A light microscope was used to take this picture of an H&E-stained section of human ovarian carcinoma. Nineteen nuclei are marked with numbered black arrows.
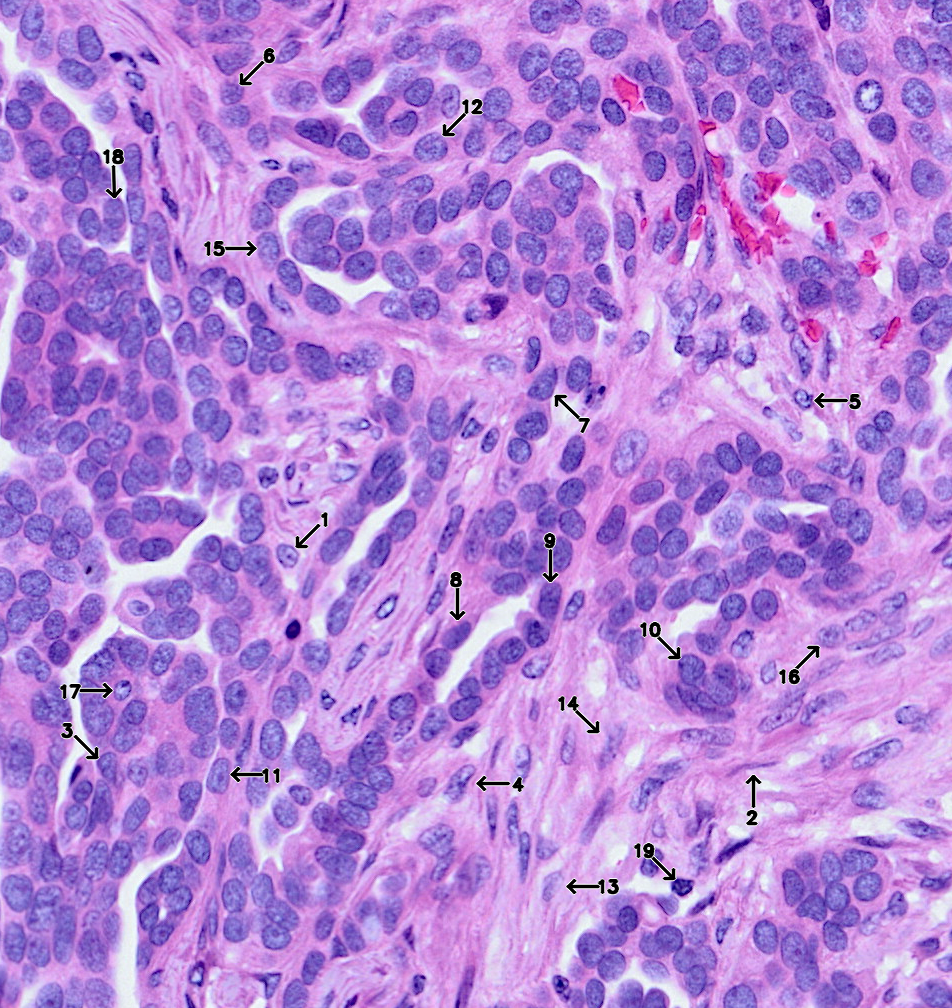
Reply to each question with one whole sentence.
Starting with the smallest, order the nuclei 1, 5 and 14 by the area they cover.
The order from the smallest nucleus to the largest is 5, 1, 14.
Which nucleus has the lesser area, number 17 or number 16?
The smaller nucleus is 17, and 16 covers roughly 2 times its area.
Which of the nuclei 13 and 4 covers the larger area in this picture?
Number 4 is larger; its area is about 1.5 times that of number 13.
